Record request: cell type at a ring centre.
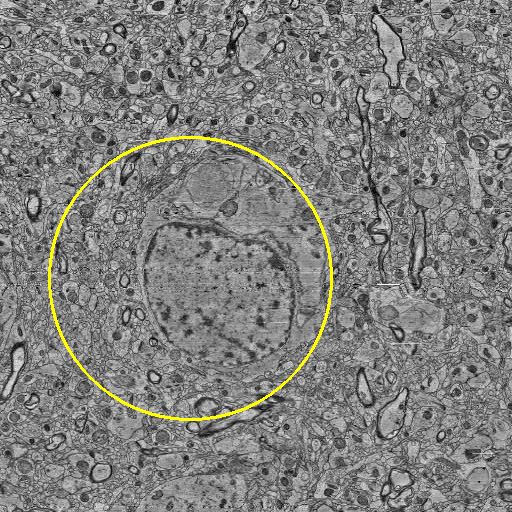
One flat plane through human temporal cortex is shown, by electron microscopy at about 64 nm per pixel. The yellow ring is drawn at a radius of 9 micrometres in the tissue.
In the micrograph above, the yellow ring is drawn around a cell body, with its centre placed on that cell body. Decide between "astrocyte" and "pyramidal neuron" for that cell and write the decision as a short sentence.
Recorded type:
The cell centred in the yellow ring is an astrocyte.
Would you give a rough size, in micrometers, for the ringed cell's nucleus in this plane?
The nucleus of the ringed cell is approximately 11 by 9 micrometres in this plane.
